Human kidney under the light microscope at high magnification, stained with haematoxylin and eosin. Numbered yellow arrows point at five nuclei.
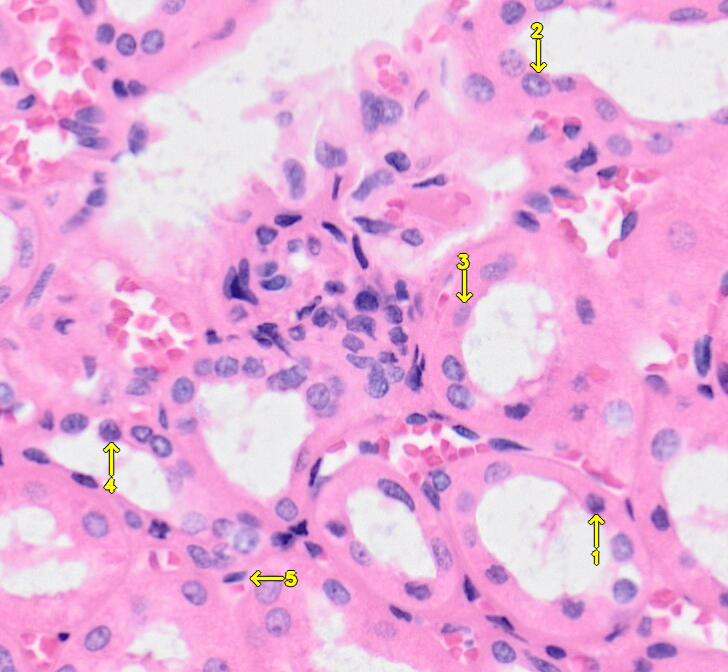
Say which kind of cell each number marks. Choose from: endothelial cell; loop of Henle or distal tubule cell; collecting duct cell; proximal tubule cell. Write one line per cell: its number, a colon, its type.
1: loop of Henle or distal tubule cell
2: loop of Henle or distal tubule cell
3: loop of Henle or distal tubule cell
4: collecting duct cell
5: endothelial cell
